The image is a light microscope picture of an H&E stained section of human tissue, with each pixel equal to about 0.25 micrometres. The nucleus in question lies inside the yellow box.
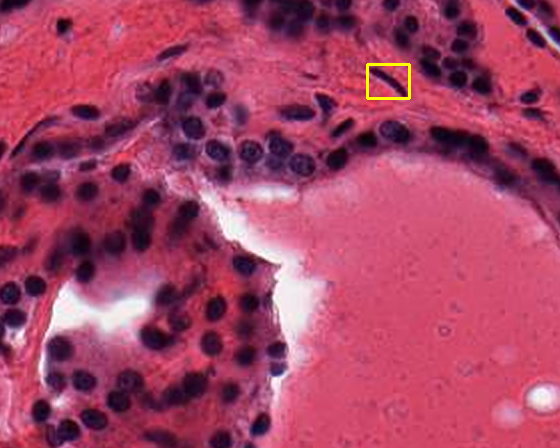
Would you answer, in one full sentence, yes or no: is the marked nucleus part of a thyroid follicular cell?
No, a thyroid follicular cell is not the cell of the marked nucleus; a supporting cell is.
